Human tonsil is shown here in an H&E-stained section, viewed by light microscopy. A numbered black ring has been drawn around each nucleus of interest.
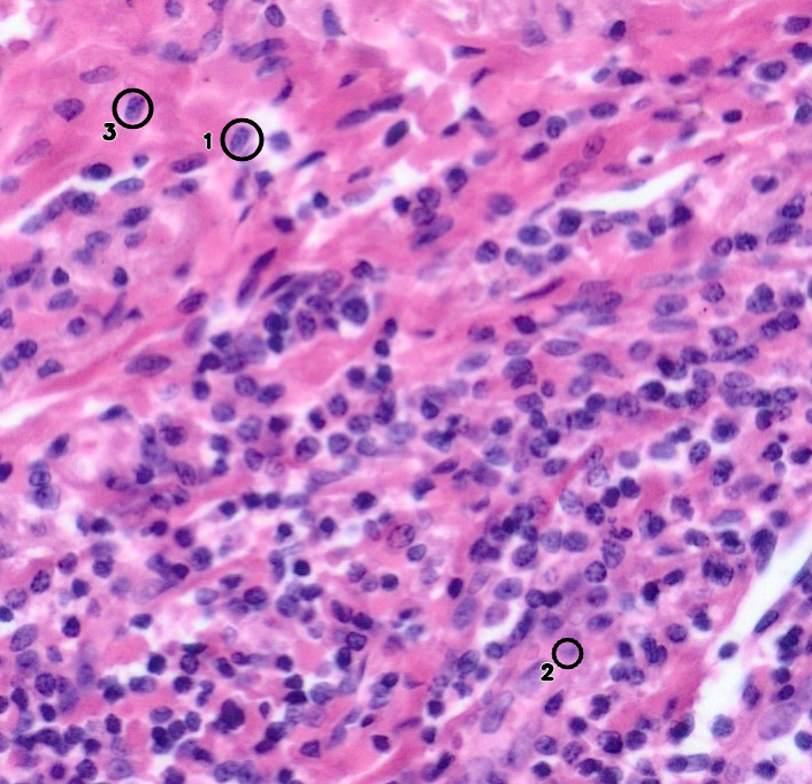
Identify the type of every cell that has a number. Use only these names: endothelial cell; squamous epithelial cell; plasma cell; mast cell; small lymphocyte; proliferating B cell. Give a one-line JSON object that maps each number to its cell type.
{"1": "mast cell", "2": "endothelial cell", "3": "mast cell"}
